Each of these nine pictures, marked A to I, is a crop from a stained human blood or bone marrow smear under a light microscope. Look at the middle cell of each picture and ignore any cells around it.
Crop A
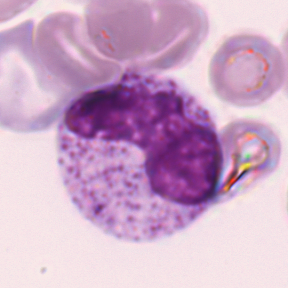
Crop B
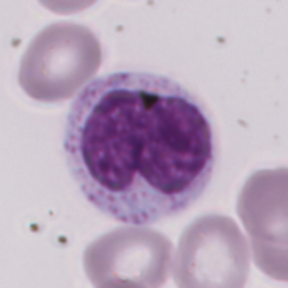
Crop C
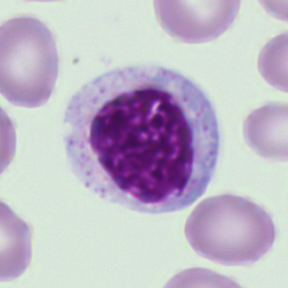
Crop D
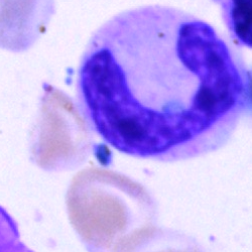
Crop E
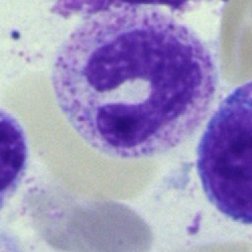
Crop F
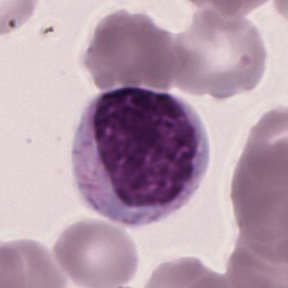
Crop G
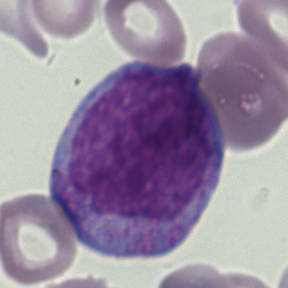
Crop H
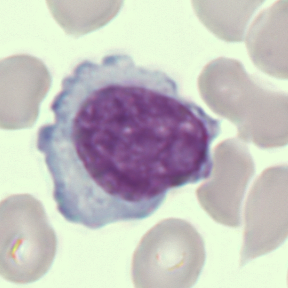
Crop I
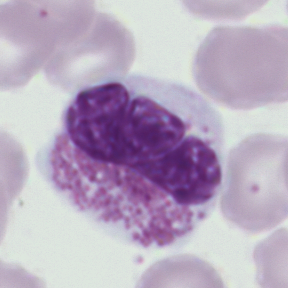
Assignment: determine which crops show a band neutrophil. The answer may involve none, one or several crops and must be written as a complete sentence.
Crops A, D and E depict band neutrophils in the middle.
